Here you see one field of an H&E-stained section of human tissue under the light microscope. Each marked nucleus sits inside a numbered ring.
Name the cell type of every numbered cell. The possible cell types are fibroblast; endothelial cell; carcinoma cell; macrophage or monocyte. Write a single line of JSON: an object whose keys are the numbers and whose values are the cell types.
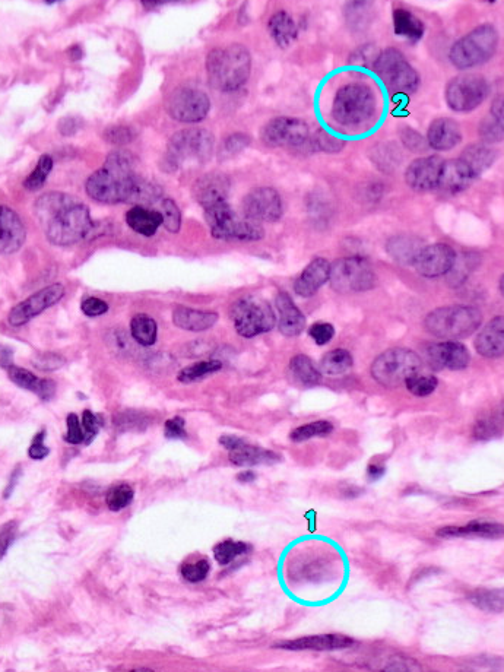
{"1": "fibroblast", "2": "carcinoma cell"}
